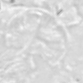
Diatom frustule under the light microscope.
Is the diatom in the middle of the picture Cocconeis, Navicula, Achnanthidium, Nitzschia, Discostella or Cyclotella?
It is Cyclotella.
